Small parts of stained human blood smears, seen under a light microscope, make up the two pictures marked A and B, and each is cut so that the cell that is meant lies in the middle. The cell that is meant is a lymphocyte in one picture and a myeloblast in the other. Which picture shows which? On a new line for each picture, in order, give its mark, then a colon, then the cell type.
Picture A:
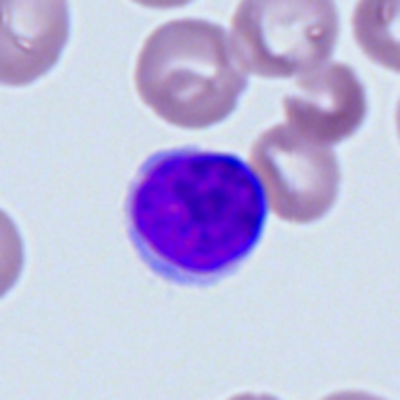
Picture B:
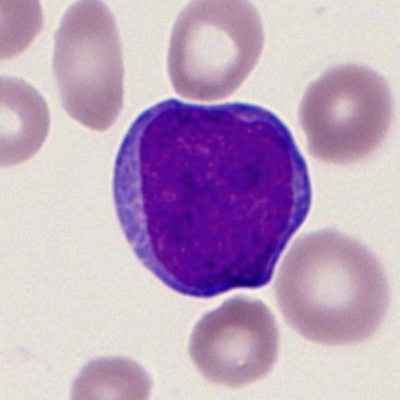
A: lymphocyte
B: myeloblast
